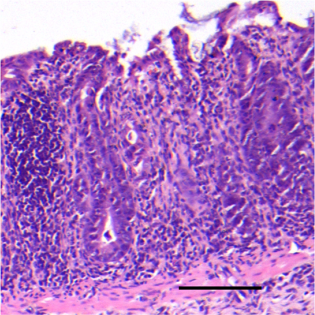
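This is colonic mucosa in pink and purple in which the normal architecture is hard to make out. Regular tubular crypts are mostly lacking; the surface is uneven and ragged. The mucosa is packed with densely crowded, dark purple nuclei, most heavily toward the left, so that the tissue looks solidly cellular. Pale, clear goblet cell vacuoles are scarce. A few irregular, distorted gland-like outlines remain. A thin pink band of smooth muscle lies at the bottom. The picture is of a mucosa with disrupted crypts, loss of goblet cells and a dense cellular infiltrate.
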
